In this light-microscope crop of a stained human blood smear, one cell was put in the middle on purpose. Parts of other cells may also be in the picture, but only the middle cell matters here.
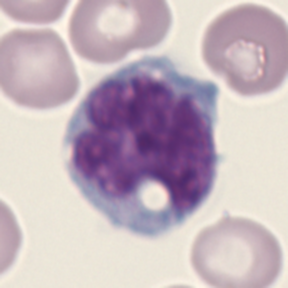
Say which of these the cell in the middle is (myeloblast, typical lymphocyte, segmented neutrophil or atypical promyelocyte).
myeloblast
